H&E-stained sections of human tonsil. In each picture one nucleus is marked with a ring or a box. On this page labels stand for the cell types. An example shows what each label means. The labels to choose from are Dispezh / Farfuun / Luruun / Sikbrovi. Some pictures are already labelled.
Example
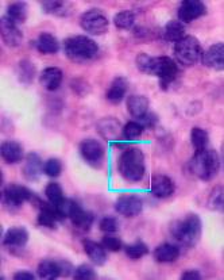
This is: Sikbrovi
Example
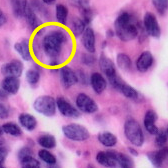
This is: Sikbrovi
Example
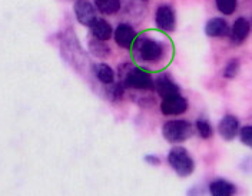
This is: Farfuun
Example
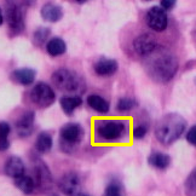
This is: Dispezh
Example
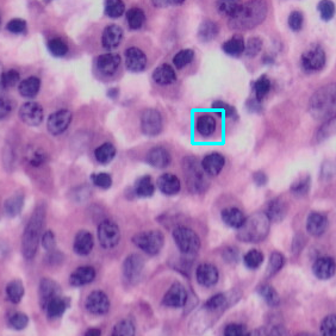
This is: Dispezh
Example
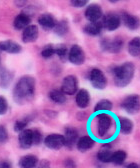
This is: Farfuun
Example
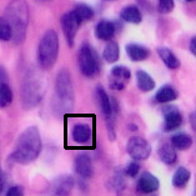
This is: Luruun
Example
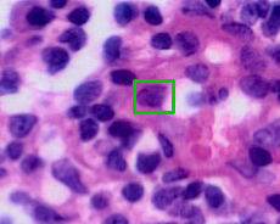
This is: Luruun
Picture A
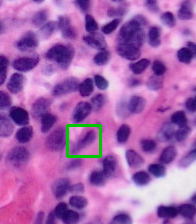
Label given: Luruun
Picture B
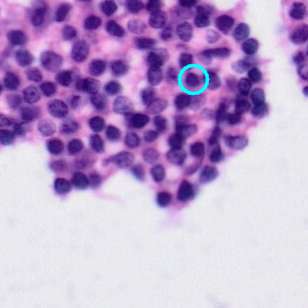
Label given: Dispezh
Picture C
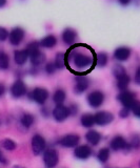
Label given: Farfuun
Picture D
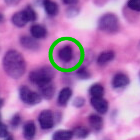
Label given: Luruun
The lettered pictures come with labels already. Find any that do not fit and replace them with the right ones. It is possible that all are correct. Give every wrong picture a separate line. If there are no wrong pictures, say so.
B: not Dispezh but Farfuun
